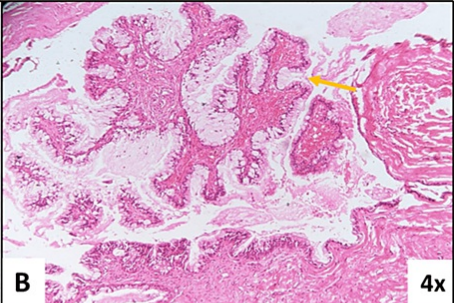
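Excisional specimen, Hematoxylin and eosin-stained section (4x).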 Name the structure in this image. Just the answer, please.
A: finger-like pattern with connective tissue cores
